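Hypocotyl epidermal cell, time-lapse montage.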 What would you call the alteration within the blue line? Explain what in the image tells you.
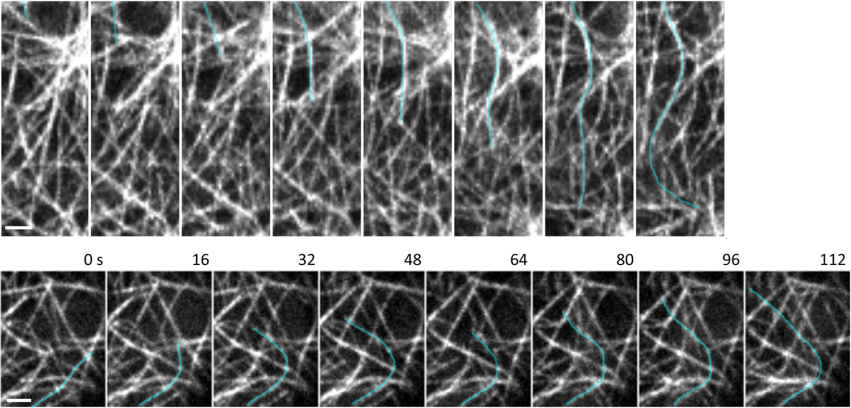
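The blue line follows one bright filament through the successive frames. In the early frames the traced filament is short and nearly straight. In the later frames the traced filament is longer and runs in a wavy, bent course.
Microtubule distortion.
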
